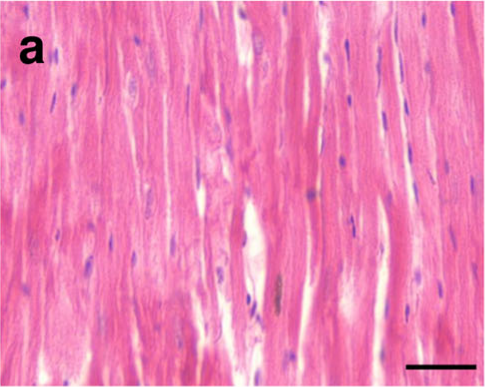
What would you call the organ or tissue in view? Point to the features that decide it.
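Long pink eosinophilic muscle fibres run in parallel. Single oval nuclei lie centrally within the fibres. Fibres are closely packed with little space between them. The answer: heart.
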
